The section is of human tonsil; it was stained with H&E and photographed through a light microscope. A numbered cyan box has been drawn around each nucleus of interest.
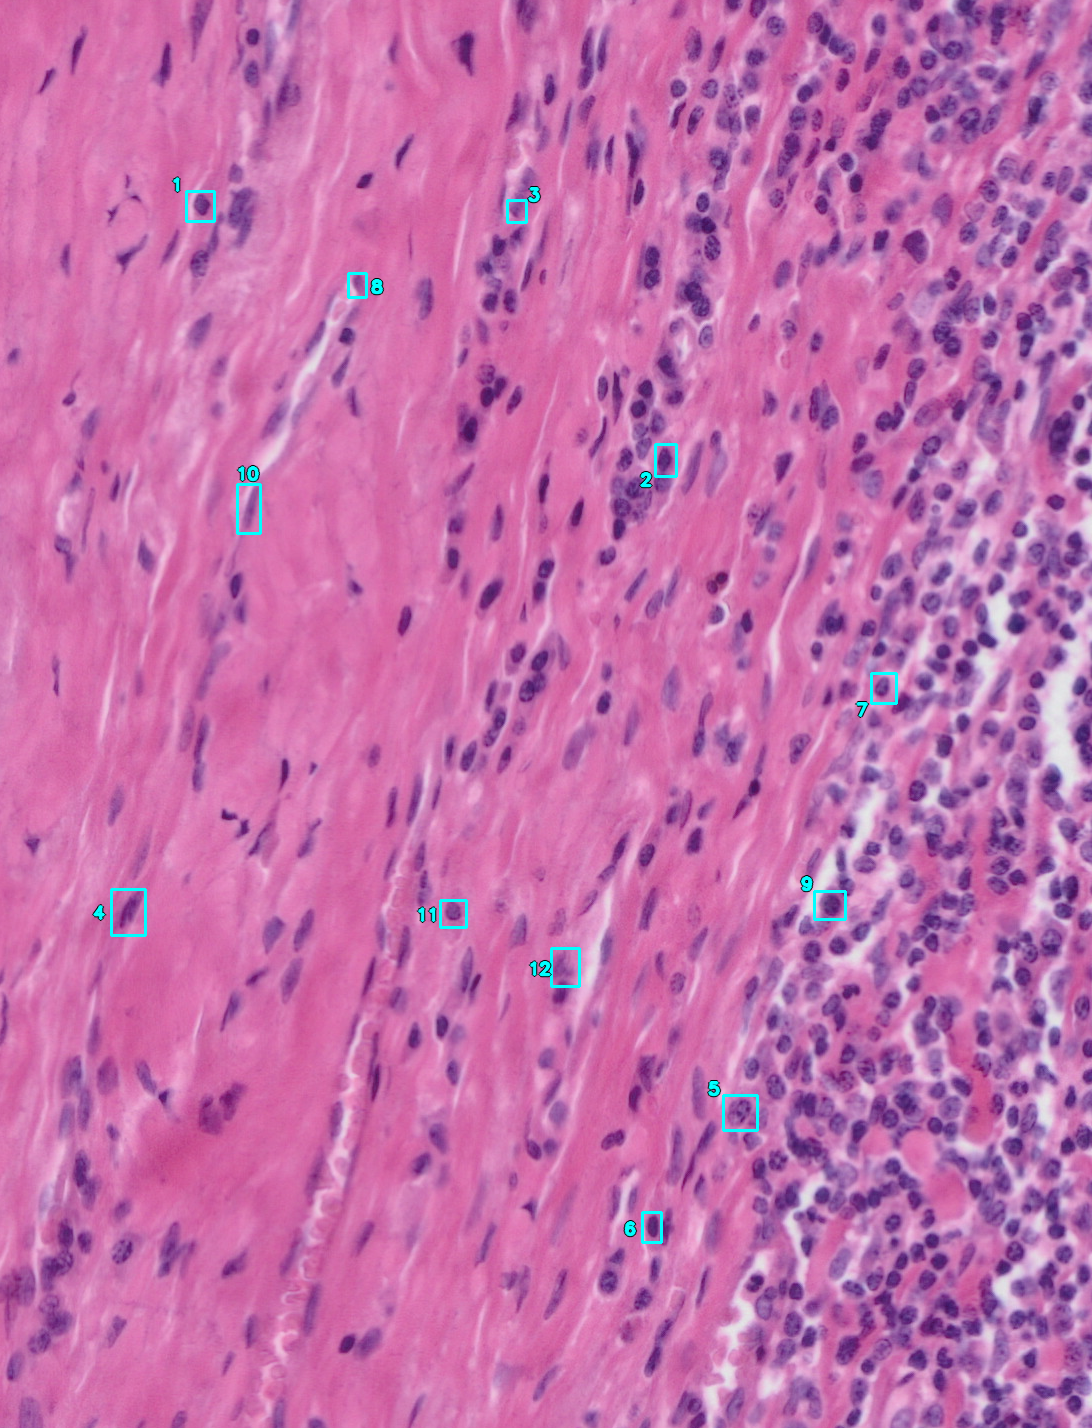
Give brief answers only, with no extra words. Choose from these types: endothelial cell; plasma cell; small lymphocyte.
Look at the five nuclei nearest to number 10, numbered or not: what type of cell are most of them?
endothelial cell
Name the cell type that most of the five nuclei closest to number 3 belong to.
endothelial cell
